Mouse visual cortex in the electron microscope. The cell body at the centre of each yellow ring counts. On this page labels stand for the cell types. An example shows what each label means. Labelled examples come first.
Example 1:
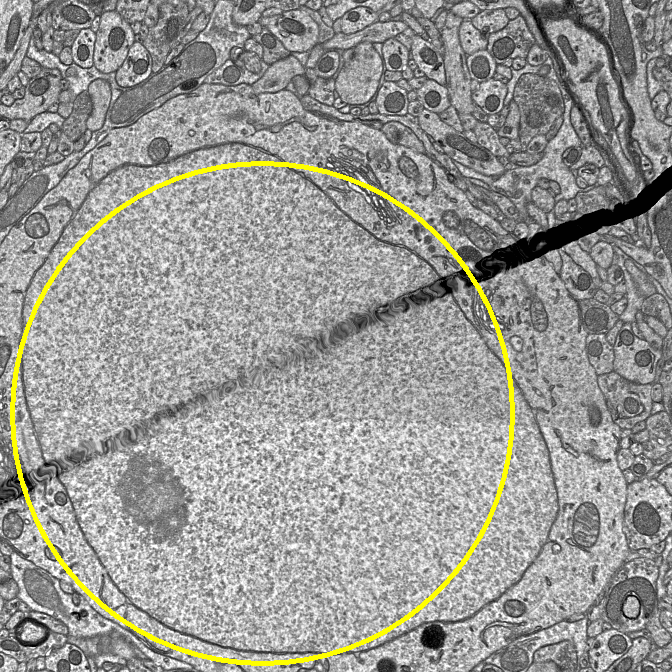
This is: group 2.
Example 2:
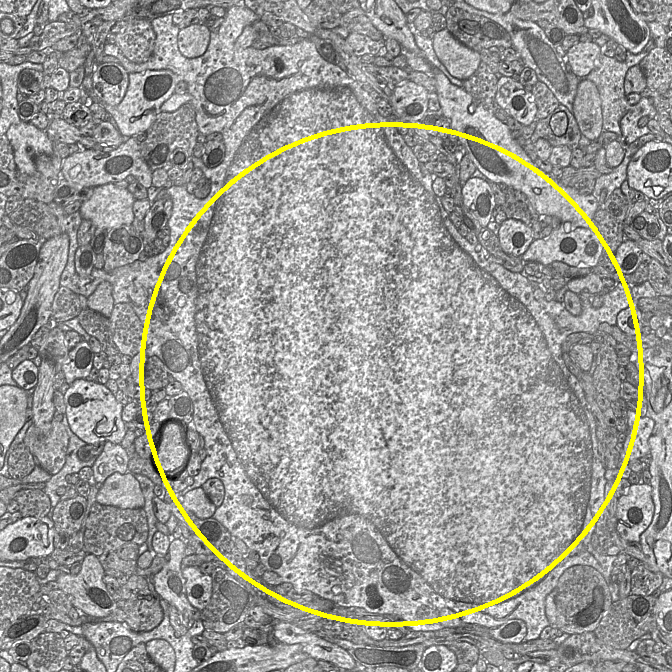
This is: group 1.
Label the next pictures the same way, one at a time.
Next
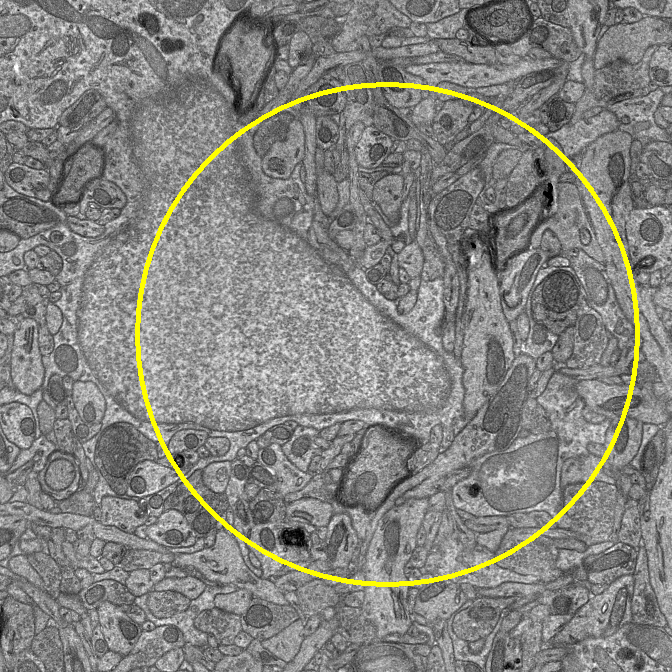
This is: group 1.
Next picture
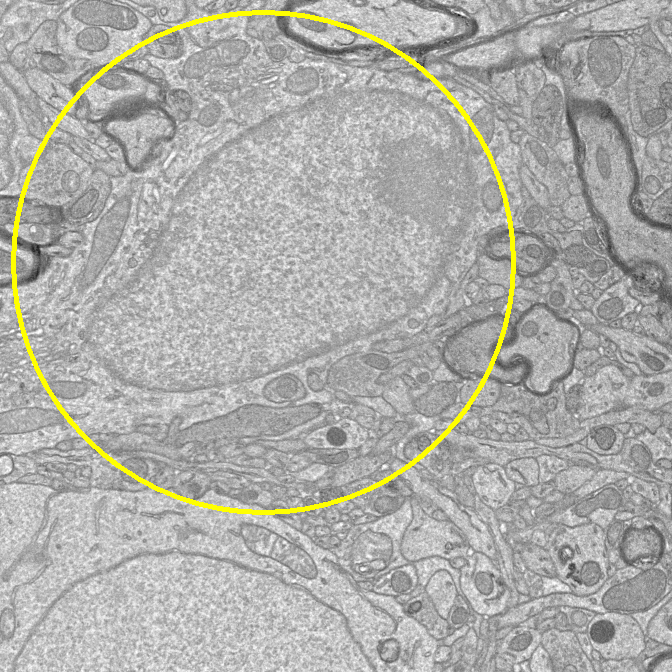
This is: group 1.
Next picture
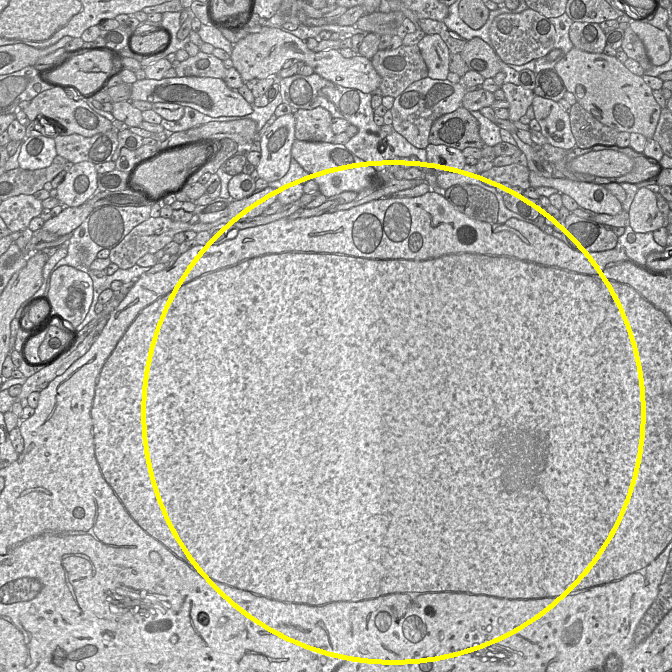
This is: group 2.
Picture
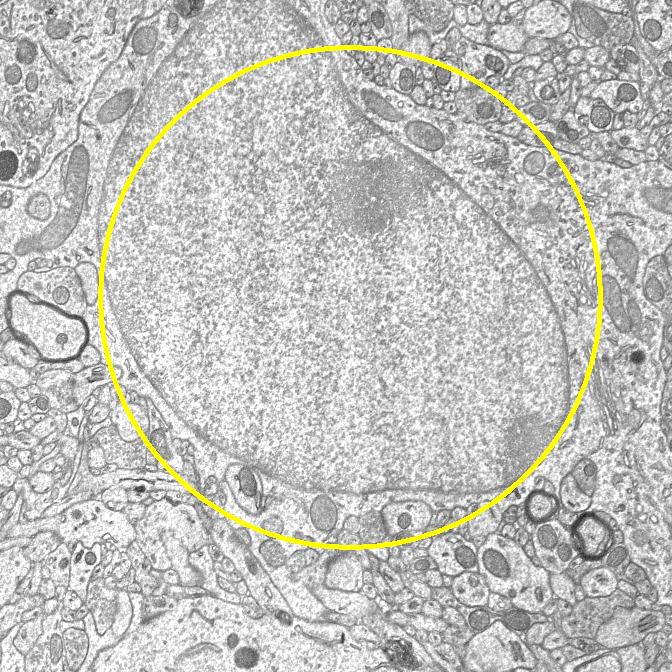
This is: group 1.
